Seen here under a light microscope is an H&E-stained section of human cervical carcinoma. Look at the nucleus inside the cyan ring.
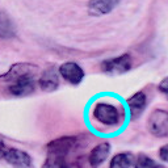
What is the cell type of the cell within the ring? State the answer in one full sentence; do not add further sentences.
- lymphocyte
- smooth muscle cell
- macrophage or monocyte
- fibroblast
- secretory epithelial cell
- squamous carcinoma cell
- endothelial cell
Right, so the cell within the ring is a lymphocyte, to answer that.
